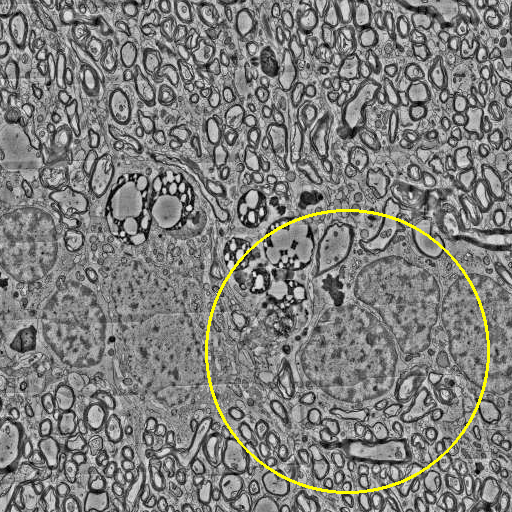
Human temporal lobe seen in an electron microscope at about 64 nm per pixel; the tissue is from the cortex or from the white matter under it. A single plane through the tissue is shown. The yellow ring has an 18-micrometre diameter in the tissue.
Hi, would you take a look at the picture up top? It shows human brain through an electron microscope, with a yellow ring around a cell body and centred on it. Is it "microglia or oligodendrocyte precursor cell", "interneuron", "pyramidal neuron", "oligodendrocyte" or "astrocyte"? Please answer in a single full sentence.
The best fit for the cell in the middle of the ring is an oligodendrocyte, I reckon.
